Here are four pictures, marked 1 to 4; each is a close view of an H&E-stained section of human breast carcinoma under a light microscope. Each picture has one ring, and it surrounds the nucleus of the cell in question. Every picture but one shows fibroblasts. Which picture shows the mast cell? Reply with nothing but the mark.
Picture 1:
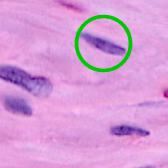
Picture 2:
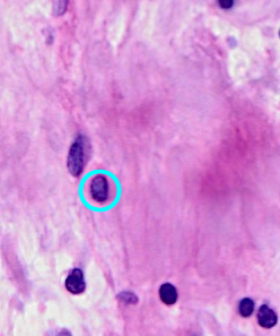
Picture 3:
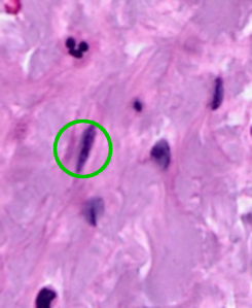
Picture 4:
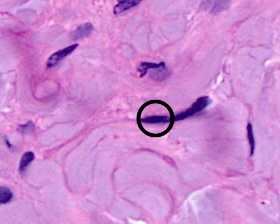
2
